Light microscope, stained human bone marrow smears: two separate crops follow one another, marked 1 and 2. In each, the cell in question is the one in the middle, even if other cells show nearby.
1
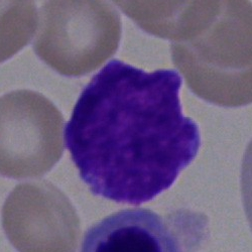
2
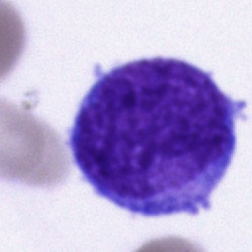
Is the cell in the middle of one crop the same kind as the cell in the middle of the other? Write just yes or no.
yes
